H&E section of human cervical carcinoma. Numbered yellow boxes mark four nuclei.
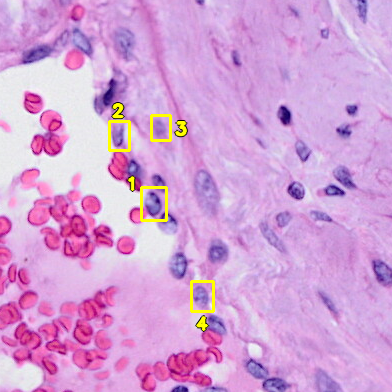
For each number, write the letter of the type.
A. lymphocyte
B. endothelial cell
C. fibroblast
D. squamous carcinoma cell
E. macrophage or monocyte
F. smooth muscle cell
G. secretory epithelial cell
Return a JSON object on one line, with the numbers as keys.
{"1": "B", "2": "B", "3": "F", "4": "B"}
